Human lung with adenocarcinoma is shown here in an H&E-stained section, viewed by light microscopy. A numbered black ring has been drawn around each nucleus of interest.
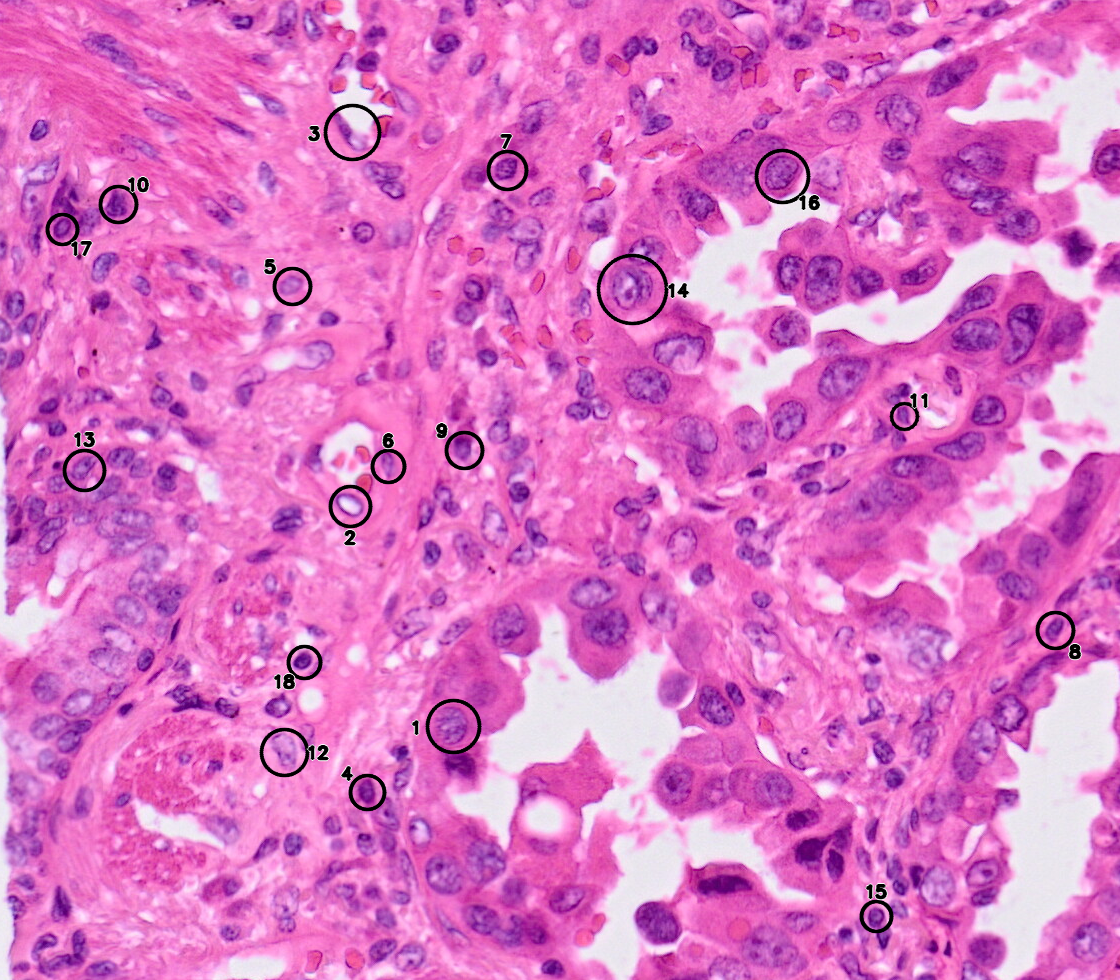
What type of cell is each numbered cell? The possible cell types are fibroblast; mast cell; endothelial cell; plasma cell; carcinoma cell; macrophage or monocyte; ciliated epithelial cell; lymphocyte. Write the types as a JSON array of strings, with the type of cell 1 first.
["carcinoma cell", "endothelial cell", "endothelial cell", "plasma cell", "mast cell", "endothelial cell", "plasma cell", "lymphocyte", "plasma cell", "plasma cell", "lymphocyte", "fibroblast", "ciliated epithelial cell", "carcinoma cell", "lymphocyte", "carcinoma cell", "plasma cell", "lymphocyte"]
